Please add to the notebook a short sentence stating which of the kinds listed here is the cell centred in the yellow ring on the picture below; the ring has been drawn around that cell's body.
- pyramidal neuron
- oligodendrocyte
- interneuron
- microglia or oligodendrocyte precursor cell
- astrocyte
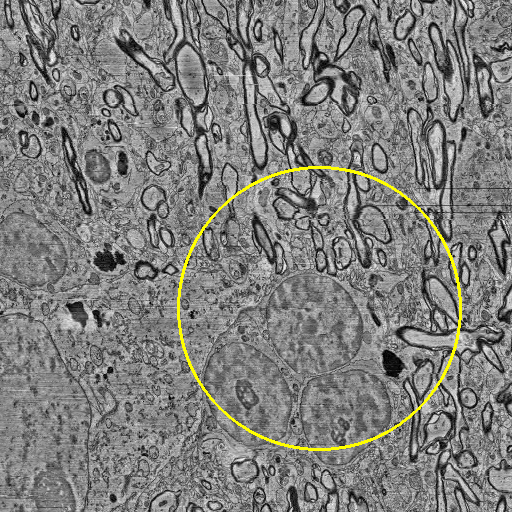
The cell centred in the yellow ring is an oligodendrocyte.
